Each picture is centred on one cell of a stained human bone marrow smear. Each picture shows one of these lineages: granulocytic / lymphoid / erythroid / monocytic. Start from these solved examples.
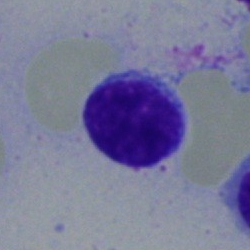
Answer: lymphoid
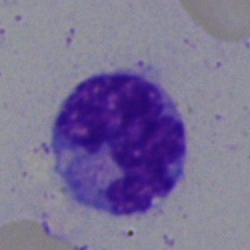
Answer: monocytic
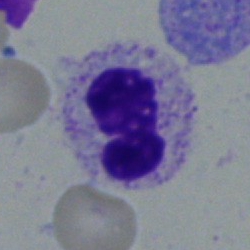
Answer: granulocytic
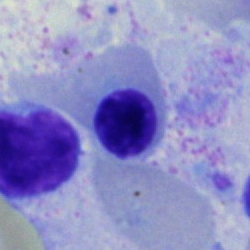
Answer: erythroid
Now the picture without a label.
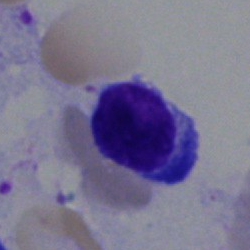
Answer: lymphoid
